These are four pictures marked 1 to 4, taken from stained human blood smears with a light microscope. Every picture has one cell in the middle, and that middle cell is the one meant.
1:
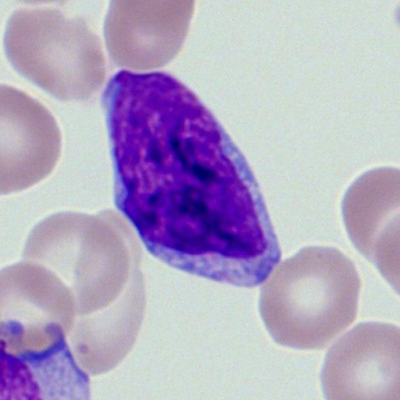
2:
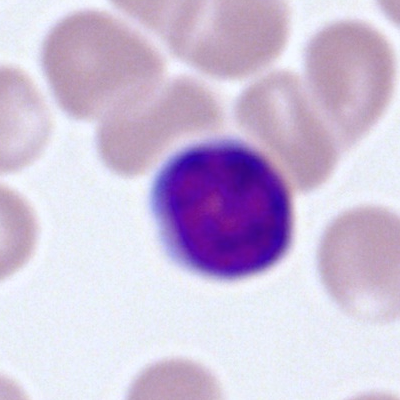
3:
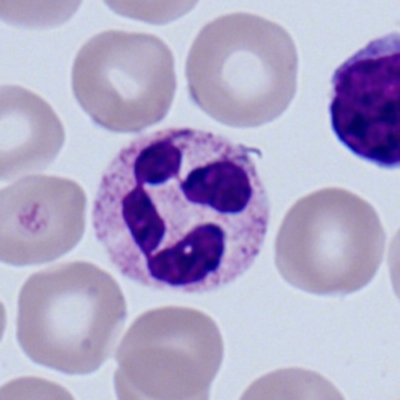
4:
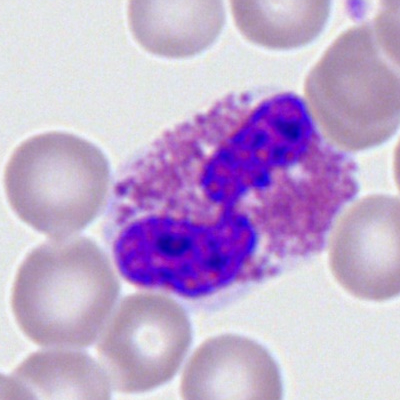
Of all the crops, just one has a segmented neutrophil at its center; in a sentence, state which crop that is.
Among the crops given, only crop 3 shows a segmented neutrophil.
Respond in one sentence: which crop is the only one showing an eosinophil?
Crop 4 alone, of all the crops, shows an eosinophil.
